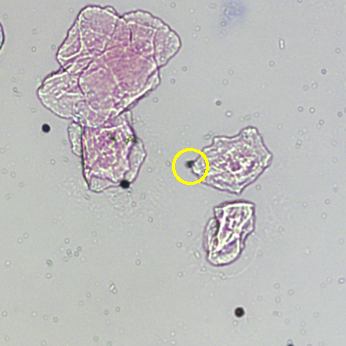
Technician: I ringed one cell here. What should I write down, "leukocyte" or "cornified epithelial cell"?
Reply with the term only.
leukocyte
